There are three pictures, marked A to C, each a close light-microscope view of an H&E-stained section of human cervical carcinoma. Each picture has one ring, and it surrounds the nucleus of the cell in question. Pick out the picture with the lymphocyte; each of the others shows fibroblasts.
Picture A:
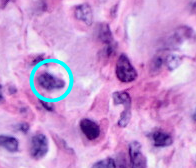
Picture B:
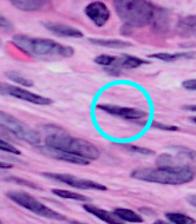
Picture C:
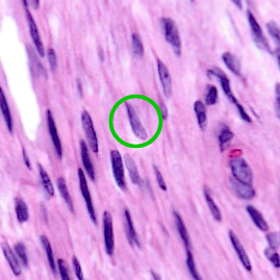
A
